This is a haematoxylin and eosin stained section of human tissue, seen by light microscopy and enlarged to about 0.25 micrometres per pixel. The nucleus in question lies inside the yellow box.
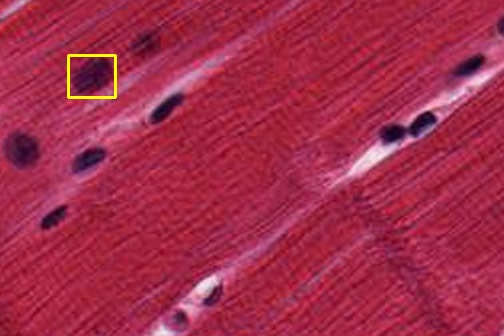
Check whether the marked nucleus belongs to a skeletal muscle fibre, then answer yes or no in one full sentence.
Yes, the marked nucleus is held by a skeletal muscle fibre.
